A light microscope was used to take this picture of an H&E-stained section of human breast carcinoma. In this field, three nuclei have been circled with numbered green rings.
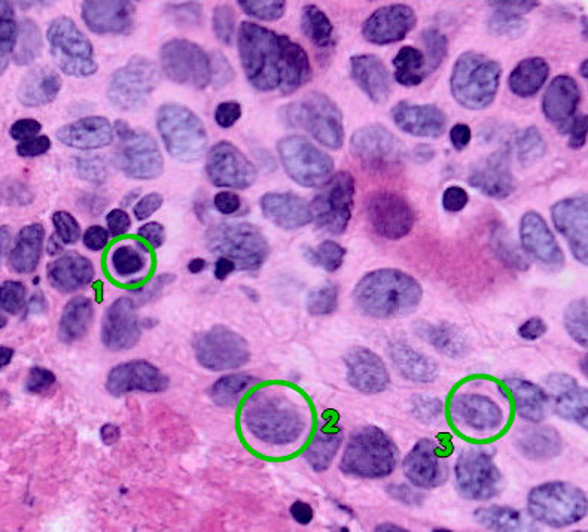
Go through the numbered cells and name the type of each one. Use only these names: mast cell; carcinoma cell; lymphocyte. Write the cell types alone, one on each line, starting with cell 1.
lymphocyte
carcinoma cell
carcinoma cell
